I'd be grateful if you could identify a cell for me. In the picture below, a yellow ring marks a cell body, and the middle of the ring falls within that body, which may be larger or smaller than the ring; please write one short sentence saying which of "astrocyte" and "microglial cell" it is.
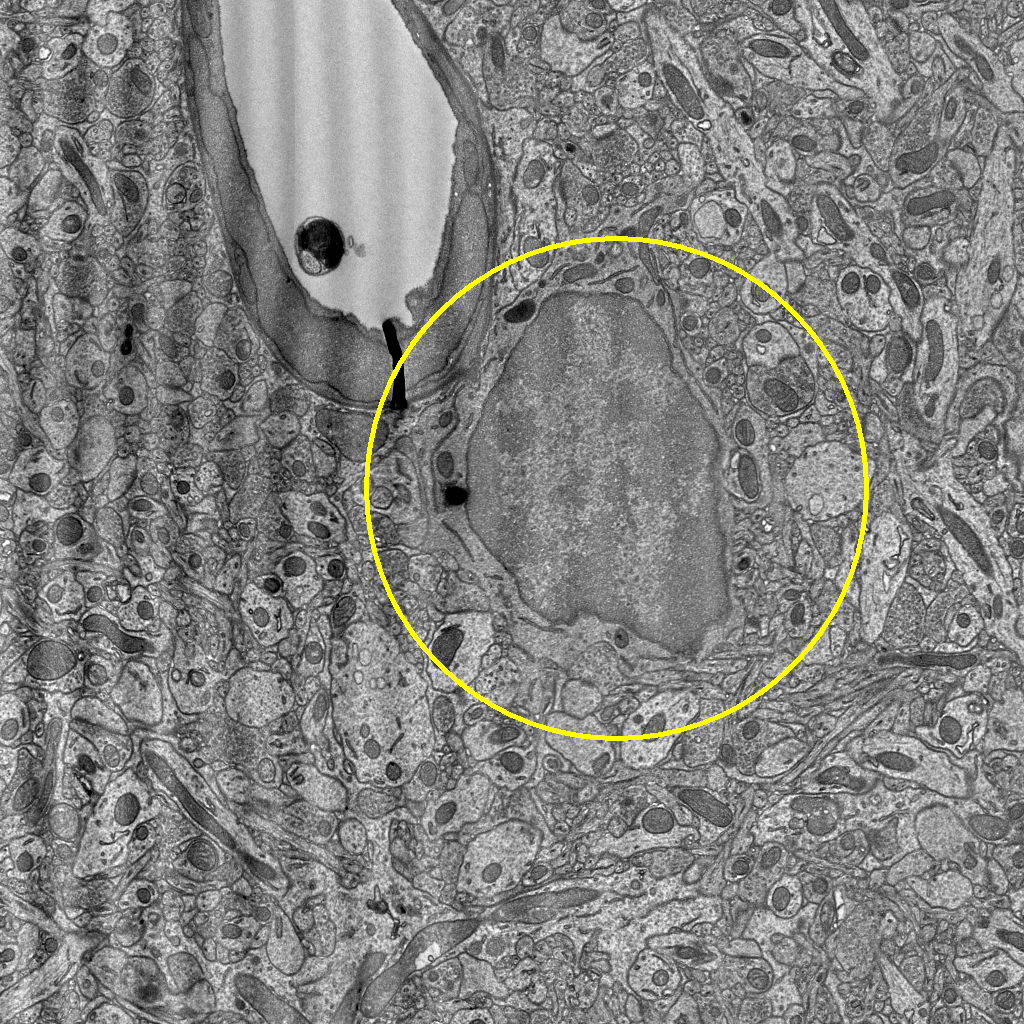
The cell under the ring's centre is a microglial cell.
